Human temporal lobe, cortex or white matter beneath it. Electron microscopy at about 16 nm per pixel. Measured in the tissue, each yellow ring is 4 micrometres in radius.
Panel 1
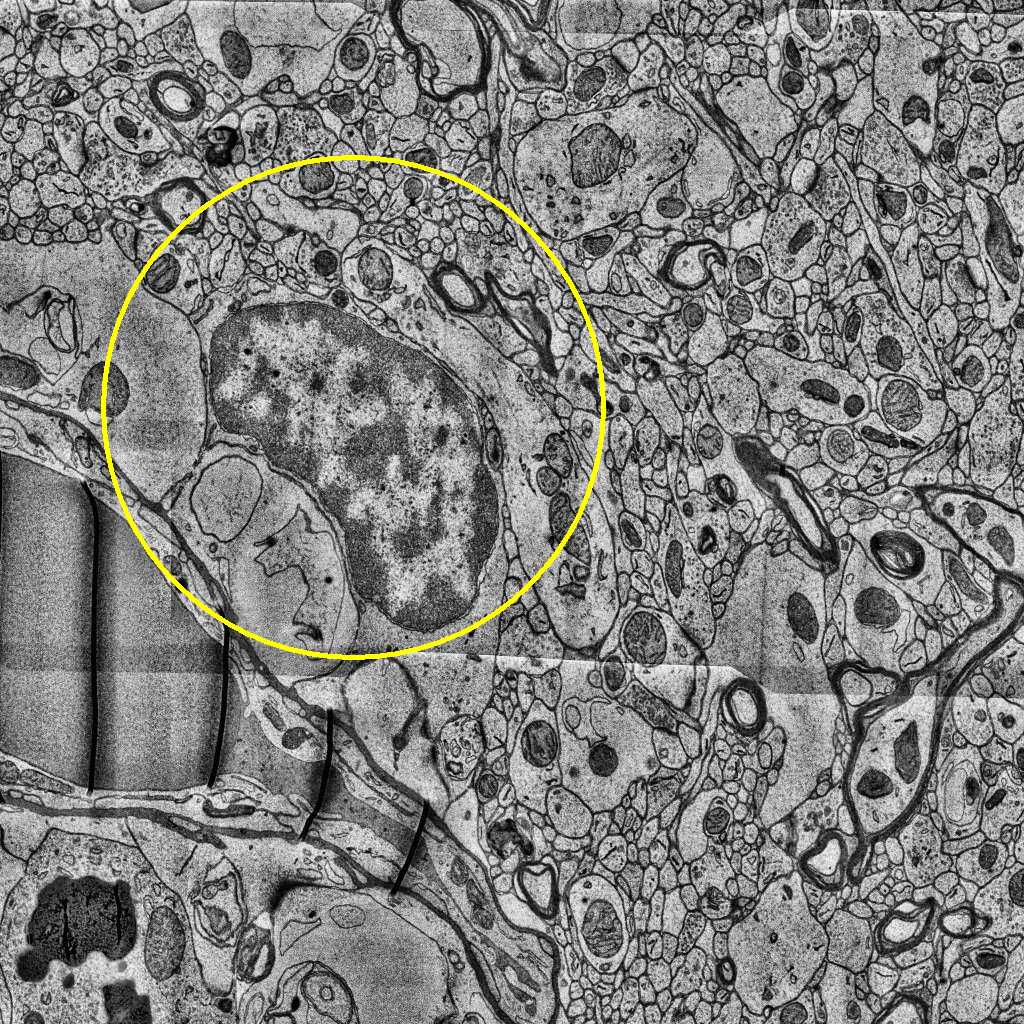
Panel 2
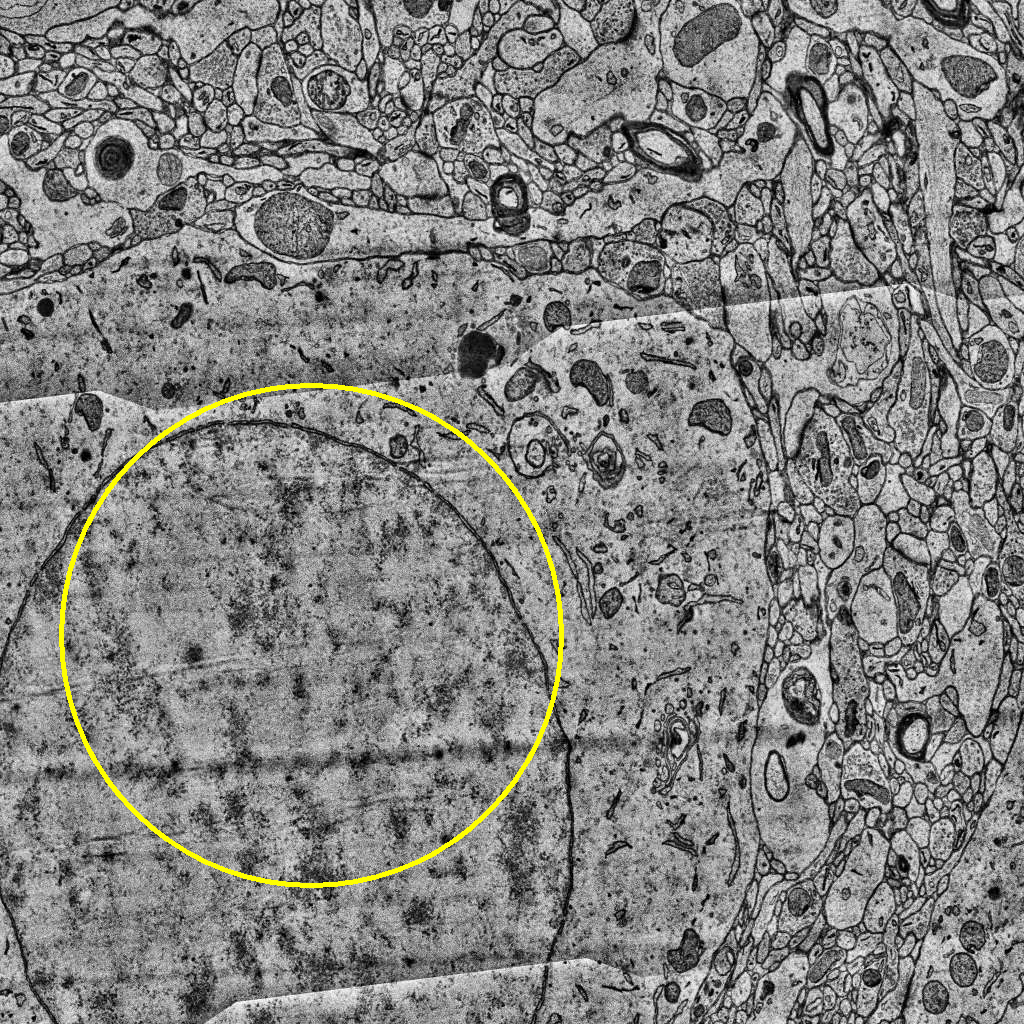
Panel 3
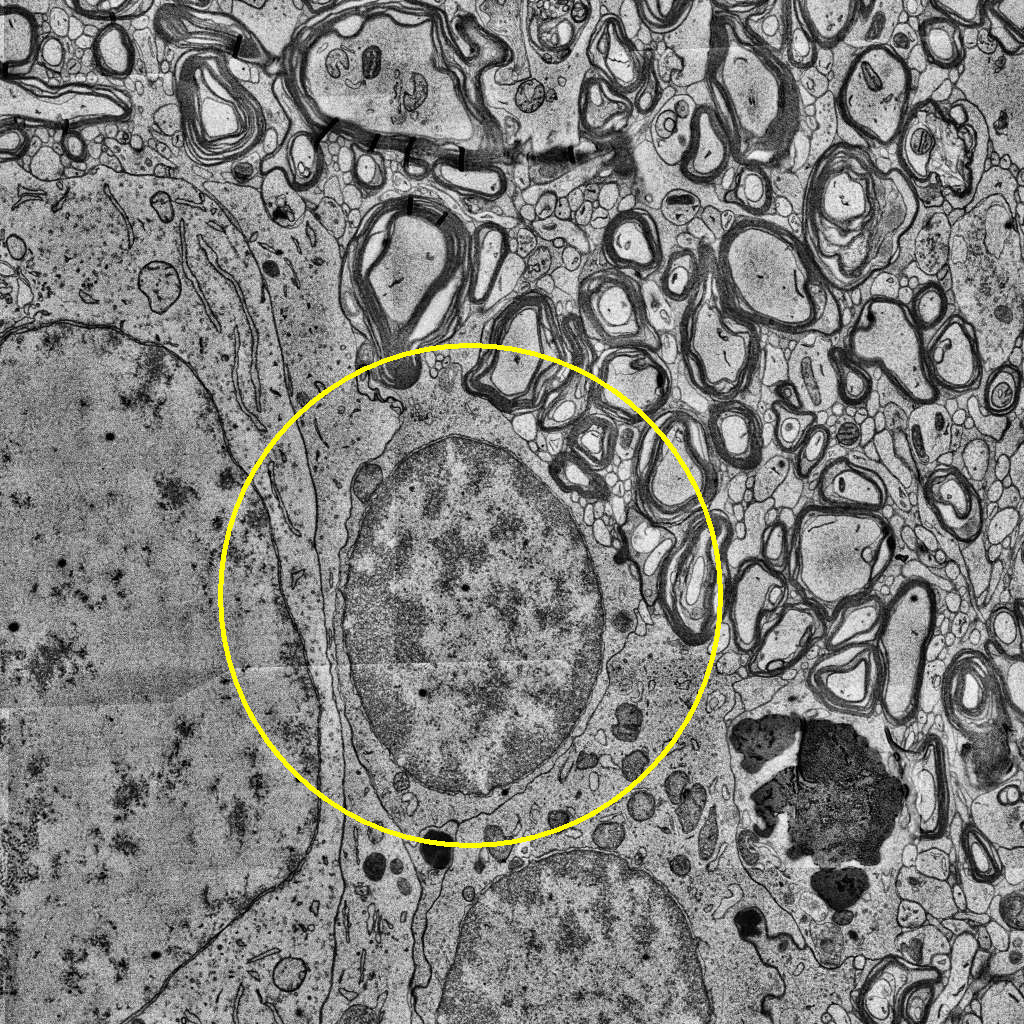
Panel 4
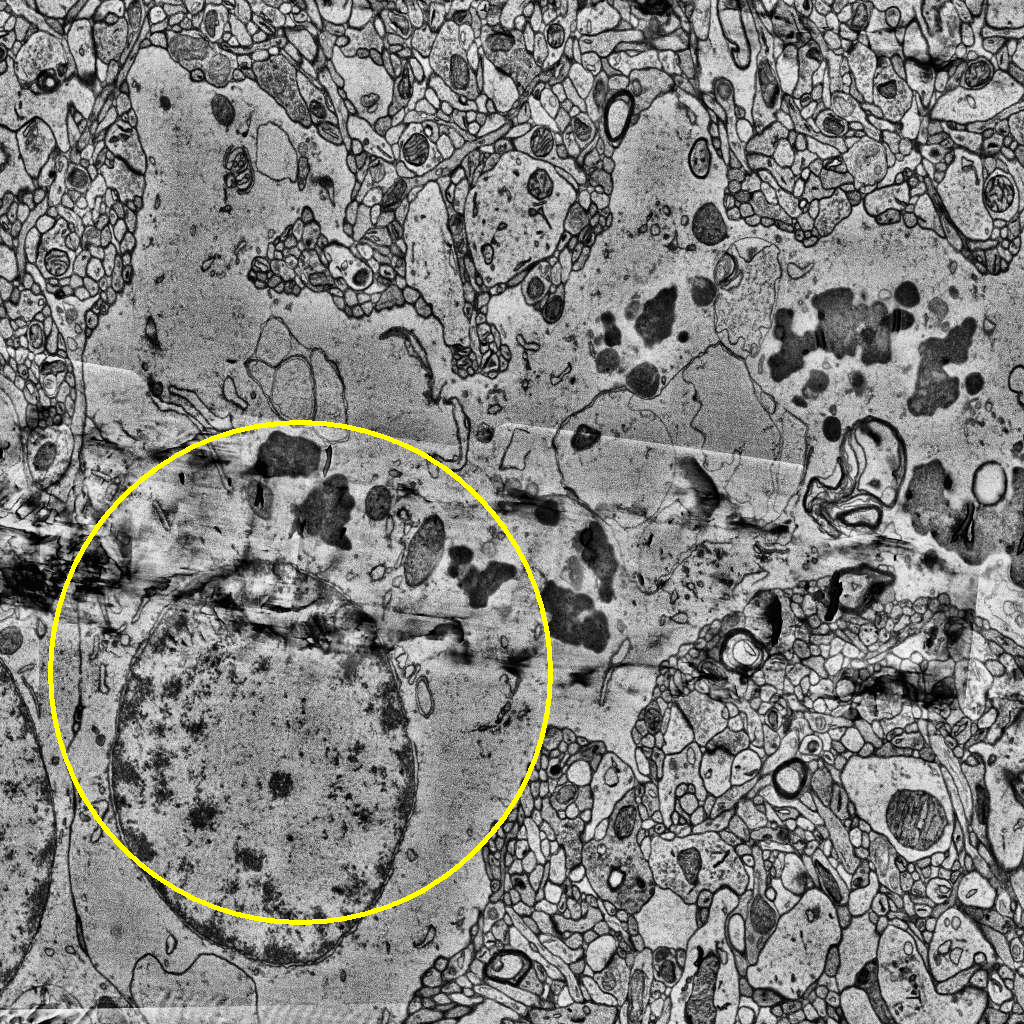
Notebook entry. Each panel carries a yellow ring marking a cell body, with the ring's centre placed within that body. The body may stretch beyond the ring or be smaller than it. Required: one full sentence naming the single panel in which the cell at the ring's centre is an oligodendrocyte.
Panel 3 is the single one with the ring's centre inside the sought cell.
